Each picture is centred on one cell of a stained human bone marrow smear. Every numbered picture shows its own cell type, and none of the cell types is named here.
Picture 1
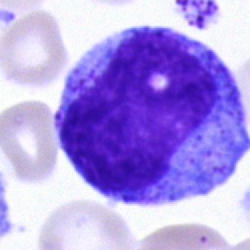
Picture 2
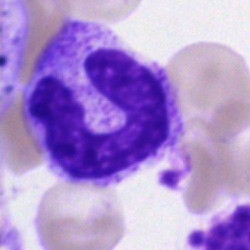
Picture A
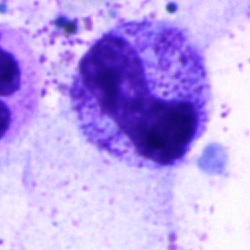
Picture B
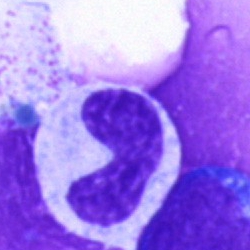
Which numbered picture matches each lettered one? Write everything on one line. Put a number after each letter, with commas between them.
A 2, B 2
